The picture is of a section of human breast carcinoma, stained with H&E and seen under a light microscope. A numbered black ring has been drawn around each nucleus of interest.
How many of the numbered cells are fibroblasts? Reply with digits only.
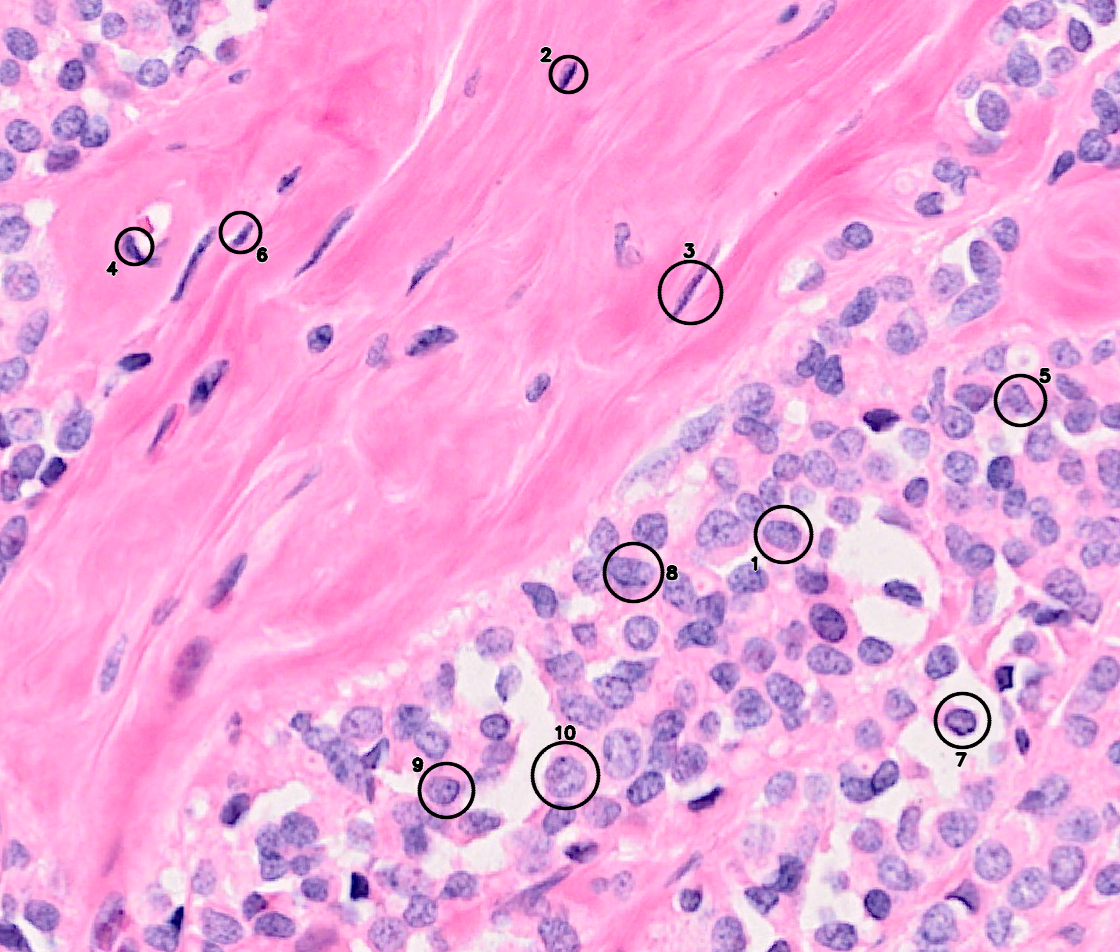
3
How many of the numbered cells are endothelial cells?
1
